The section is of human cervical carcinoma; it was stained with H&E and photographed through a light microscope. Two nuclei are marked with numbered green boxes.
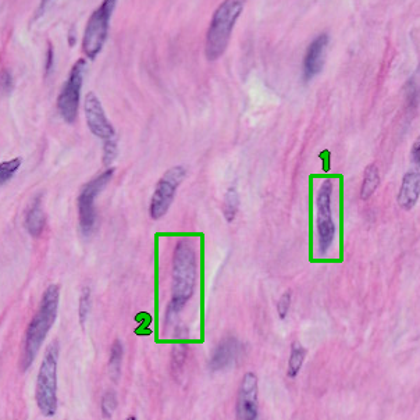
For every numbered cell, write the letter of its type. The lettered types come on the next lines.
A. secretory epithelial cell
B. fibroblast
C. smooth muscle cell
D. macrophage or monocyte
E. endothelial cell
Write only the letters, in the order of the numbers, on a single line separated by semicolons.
B; C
